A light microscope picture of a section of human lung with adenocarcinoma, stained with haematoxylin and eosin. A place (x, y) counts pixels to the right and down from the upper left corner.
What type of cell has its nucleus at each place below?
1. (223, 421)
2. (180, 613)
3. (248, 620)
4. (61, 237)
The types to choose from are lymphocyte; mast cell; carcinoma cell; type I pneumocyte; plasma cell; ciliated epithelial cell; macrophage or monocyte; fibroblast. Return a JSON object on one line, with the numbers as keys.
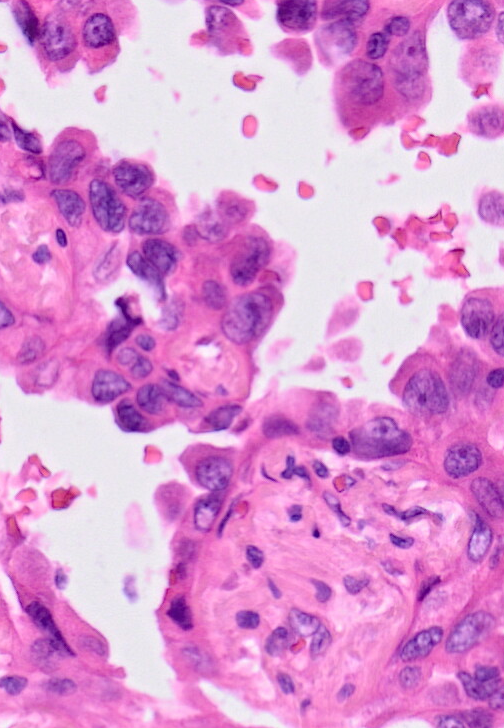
{"1": "carcinoma cell", "2": "carcinoma cell", "3": "lymphocyte", "4": "lymphocyte"}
